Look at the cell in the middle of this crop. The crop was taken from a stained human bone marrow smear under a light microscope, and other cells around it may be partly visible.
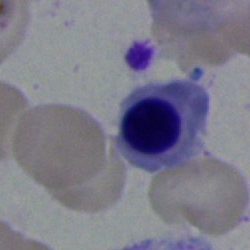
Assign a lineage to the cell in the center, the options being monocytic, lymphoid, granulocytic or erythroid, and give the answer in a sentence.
From the erythroid lineage comes the cell in the middle of the crop.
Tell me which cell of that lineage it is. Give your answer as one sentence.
The central cell shown in this smear crop is an erythroblast.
